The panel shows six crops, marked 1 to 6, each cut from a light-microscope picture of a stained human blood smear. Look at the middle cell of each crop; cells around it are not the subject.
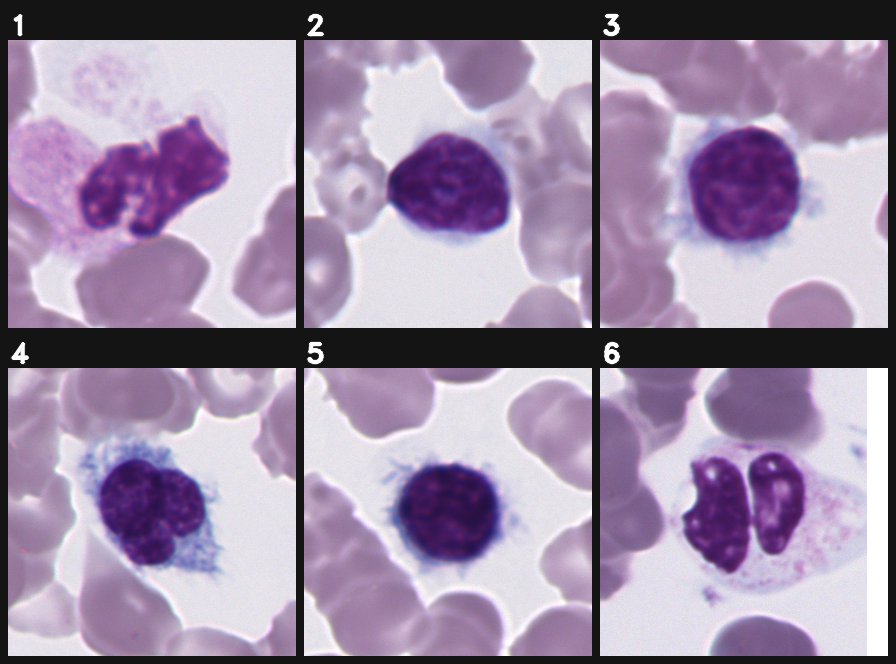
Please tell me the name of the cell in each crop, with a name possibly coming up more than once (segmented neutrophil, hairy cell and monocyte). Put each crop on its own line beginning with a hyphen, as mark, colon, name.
- 1: segmented neutrophil
- 2: hairy cell
- 3: hairy cell
- 4: hairy cell
- 5: hairy cell
- 6: segmented neutrophil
